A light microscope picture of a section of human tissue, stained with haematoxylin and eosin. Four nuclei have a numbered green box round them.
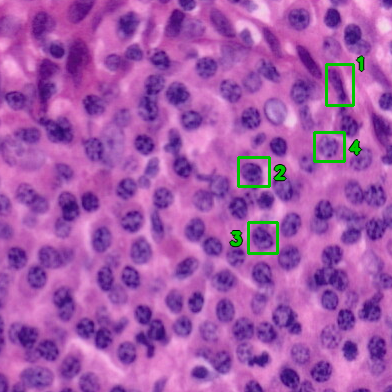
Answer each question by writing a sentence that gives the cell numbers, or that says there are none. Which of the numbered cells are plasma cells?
Within the section, cells numbered 2, 3 and 4 are plasma cells.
